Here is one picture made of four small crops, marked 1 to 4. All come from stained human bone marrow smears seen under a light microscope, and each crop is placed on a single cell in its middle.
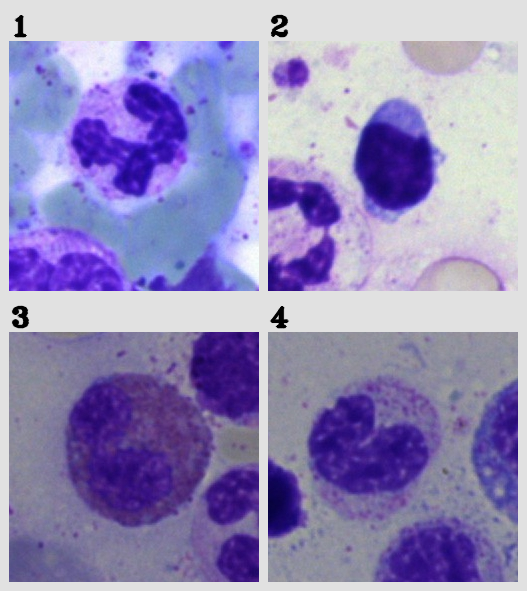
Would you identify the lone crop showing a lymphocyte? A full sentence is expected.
The sole crop showing a lymphocyte is crop 2.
